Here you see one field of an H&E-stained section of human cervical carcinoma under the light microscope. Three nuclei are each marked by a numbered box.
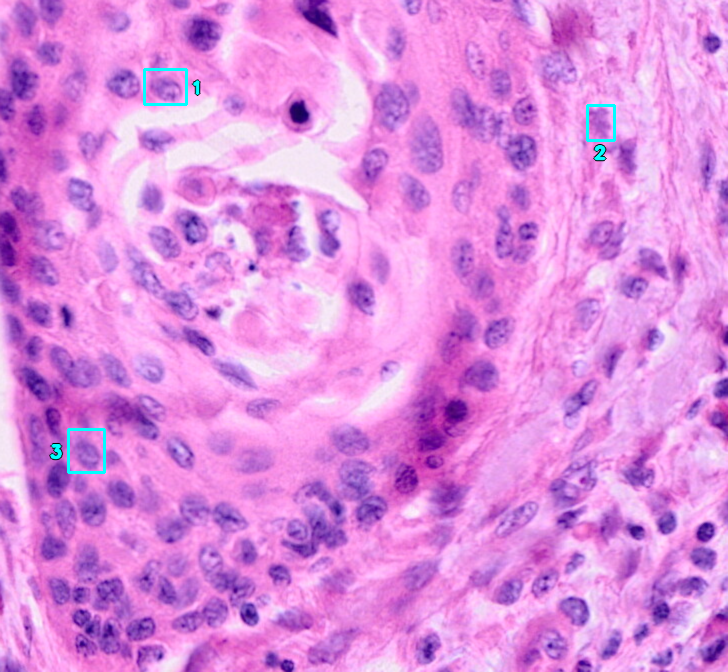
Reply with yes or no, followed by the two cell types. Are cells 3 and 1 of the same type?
Yes, both are squamous carcinoma cells.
